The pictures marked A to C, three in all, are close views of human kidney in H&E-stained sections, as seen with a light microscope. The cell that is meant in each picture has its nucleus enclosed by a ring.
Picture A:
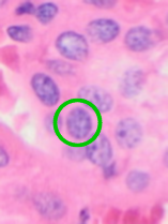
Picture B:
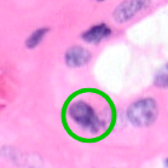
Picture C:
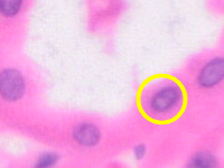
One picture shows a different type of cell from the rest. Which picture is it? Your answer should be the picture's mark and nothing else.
C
